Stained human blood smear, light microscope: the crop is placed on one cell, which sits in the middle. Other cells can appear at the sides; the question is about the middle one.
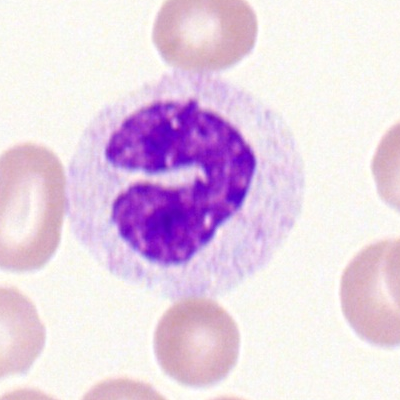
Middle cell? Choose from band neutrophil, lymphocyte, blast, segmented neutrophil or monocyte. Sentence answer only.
As for the cell in the middle, it is a band neutrophil.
